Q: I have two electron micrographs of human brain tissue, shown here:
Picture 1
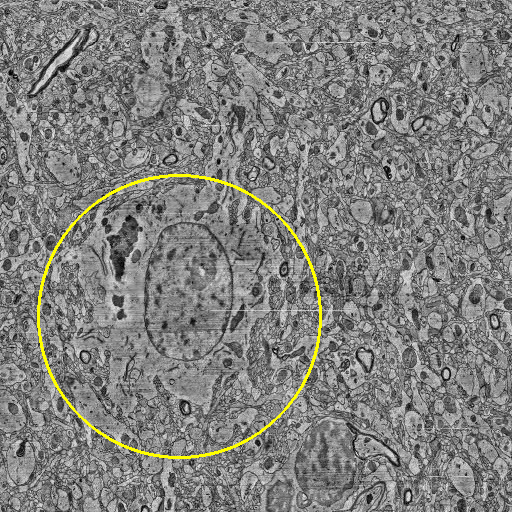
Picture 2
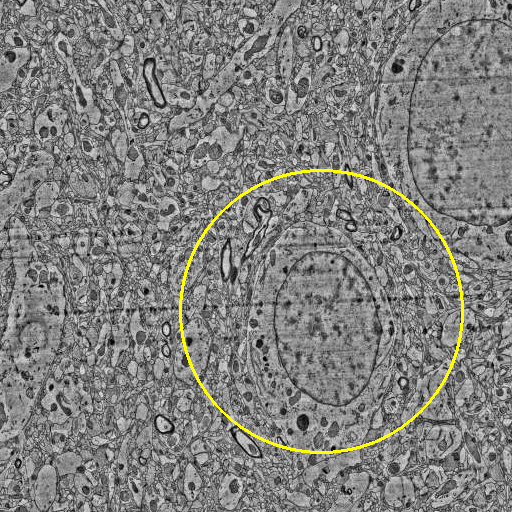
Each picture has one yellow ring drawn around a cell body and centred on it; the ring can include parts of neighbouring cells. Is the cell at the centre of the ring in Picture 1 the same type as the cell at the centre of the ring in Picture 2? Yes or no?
no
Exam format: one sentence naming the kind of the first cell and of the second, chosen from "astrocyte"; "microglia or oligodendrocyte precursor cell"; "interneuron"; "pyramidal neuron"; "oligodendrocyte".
The first picture's cell is an astrocyte, and the second picture's cell is a pyramidal neuron.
